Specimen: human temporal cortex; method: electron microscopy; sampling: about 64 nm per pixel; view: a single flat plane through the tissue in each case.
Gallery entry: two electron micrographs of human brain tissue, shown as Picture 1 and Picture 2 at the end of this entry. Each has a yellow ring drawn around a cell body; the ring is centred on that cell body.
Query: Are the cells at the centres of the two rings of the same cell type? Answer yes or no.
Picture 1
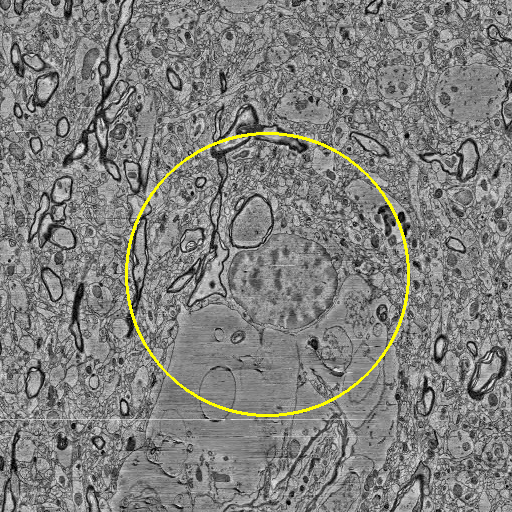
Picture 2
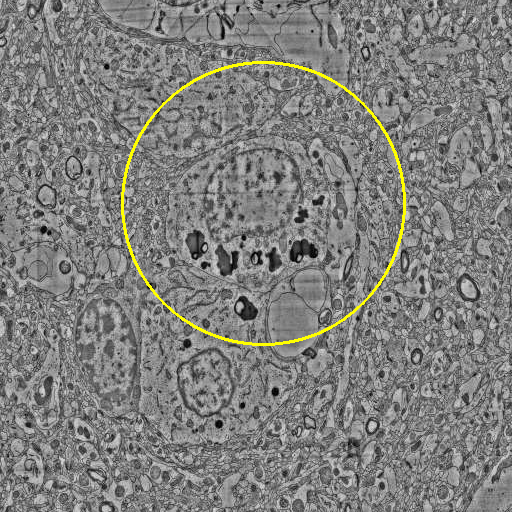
no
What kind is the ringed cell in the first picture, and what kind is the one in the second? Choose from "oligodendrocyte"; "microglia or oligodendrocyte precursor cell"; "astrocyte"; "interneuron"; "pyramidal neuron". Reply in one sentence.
The first cell is an oligodendrocyte; the second is an interneuron.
